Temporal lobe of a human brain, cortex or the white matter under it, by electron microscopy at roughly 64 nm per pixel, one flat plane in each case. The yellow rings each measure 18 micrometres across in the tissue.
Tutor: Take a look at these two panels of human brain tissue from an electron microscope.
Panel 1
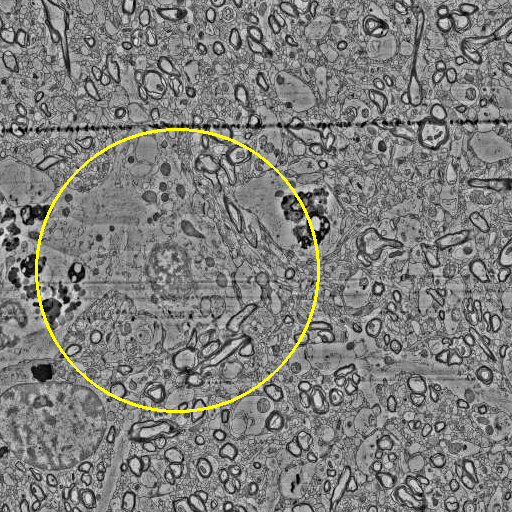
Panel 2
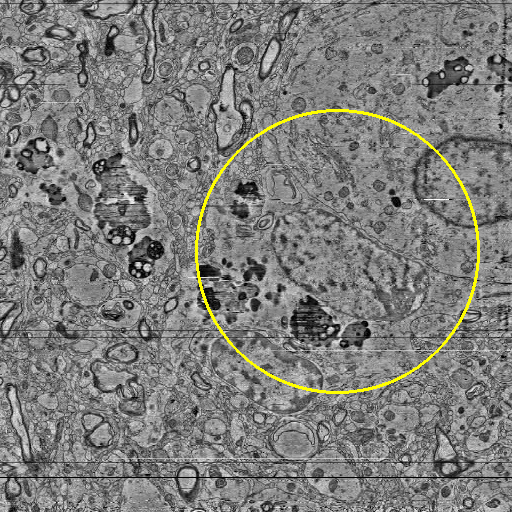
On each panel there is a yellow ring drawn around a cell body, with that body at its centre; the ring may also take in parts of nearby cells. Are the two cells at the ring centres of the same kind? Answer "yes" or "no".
yes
